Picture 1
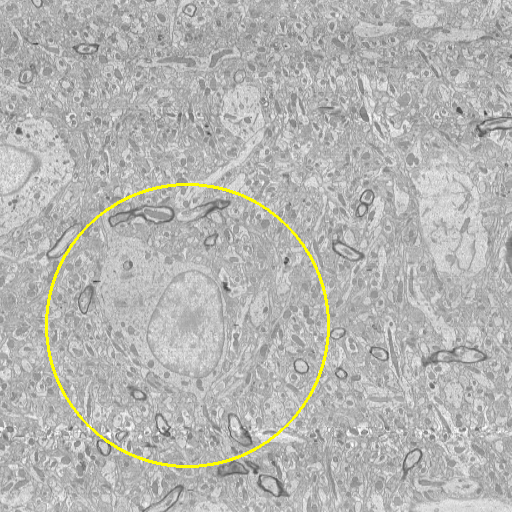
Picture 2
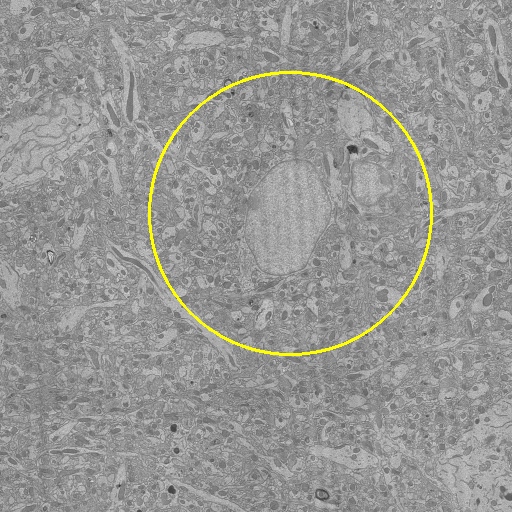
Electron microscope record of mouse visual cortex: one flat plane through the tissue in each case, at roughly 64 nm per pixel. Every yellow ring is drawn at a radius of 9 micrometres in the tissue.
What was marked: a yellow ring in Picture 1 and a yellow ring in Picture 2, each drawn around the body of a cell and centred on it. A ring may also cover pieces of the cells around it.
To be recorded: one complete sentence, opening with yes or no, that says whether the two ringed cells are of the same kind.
No, the two ringed cells are of two kinds.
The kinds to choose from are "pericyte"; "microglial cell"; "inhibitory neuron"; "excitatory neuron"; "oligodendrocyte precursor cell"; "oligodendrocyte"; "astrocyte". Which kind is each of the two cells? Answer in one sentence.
Of the two, the first cell is an oligodendrocyte and the second cell is an astrocyte.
